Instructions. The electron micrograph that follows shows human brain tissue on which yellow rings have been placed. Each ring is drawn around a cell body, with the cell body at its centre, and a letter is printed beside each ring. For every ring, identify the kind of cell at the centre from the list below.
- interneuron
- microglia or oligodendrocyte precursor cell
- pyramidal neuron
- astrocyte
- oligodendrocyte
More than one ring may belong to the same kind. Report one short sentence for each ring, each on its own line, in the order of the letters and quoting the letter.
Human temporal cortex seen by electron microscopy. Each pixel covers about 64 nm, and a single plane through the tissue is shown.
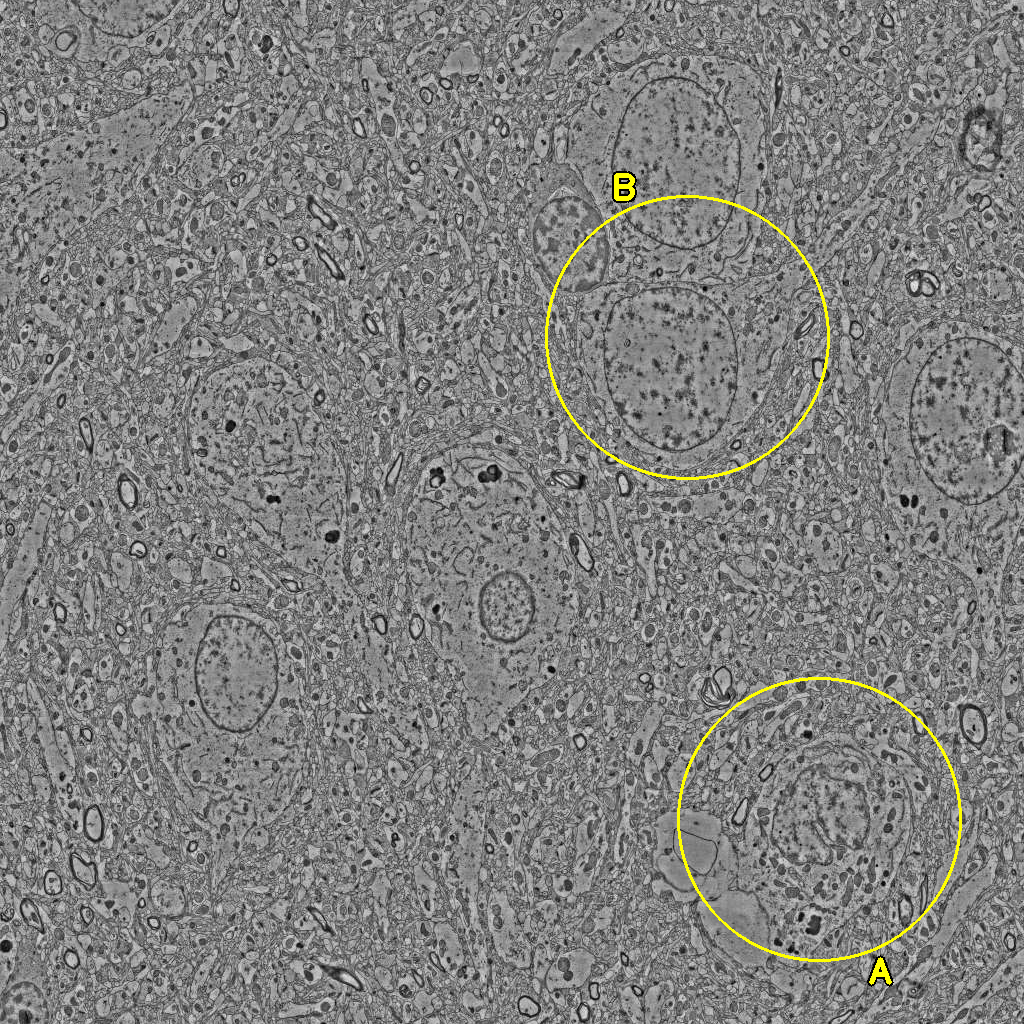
The centre of ring A is occupied by an interneuron.
The centre of ring B is occupied by a pyramidal neuron.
